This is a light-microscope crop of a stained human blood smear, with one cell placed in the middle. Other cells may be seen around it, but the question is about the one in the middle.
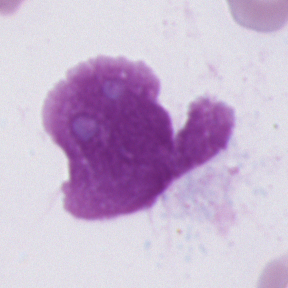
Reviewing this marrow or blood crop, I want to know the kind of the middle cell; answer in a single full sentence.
Regarding the central cell, it is a smudge cell.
